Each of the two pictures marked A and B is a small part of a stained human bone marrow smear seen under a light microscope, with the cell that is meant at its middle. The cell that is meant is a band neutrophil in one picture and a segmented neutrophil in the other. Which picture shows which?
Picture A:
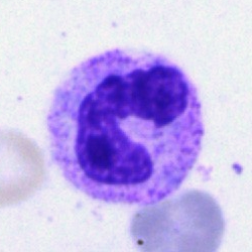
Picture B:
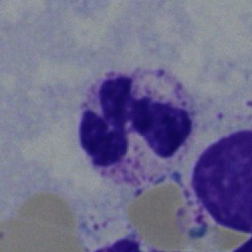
A: band neutrophil
B: segmented neutrophil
